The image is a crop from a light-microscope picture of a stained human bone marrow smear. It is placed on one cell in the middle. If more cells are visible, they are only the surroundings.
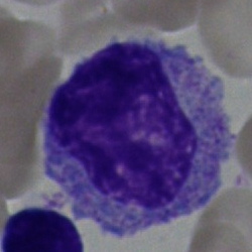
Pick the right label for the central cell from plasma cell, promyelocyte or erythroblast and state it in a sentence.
The centrally positioned cell in the crop represents a promyelocyte.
